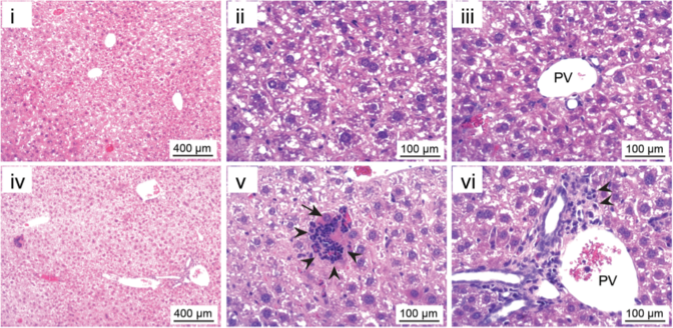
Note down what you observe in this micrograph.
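Liver parenchyma composed of plates of large polygonal hepatocytes with pink cytoplasm and round, centrally placed purple nuclei, interrupted by scattered vessels. In one high-power field a compact cluster of small cells with dense dark nuclei surrounds a single strongly pink cell without a clear nucleus, and in another field small dark-nucleated cells gather around a portal vessel containing red blood cells, next to small ducts and connective tissue.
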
